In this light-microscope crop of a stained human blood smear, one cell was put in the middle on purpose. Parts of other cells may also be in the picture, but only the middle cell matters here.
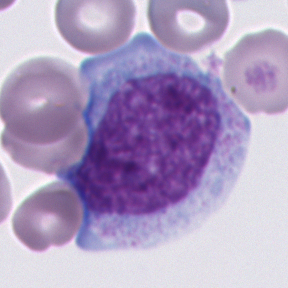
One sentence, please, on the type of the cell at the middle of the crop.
On this slide crop, the central cell is a promyelocyte.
